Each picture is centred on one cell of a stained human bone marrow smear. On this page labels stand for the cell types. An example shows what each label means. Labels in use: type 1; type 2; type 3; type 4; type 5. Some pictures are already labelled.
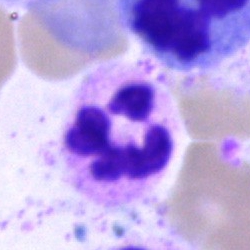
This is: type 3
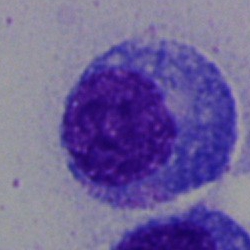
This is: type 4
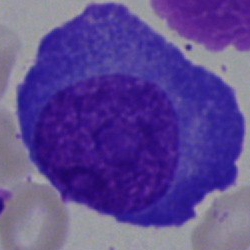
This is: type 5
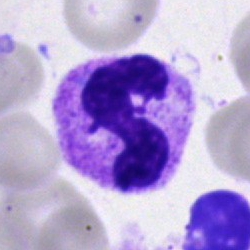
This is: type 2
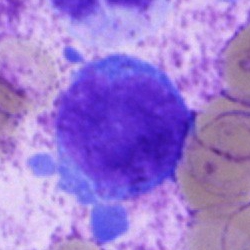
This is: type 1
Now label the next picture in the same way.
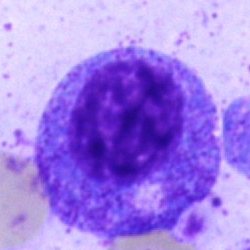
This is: type 4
